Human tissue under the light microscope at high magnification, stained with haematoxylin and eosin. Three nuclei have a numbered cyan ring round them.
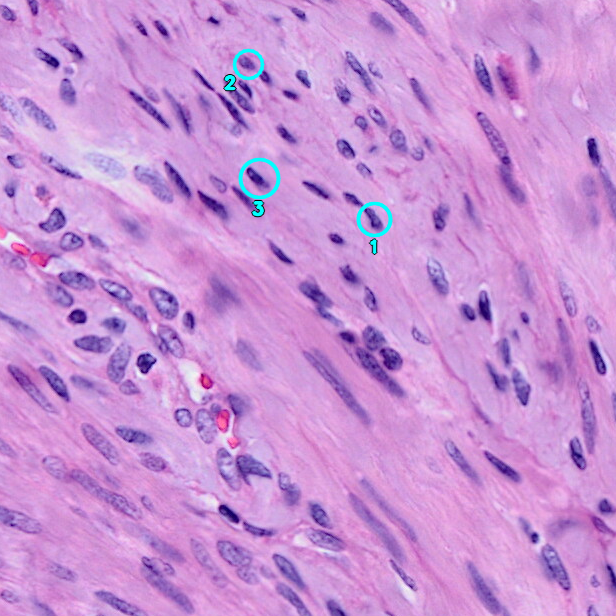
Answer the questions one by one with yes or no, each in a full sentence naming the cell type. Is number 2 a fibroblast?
No, number 2 is assigned to a smooth muscle cell, not to a fibroblast.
